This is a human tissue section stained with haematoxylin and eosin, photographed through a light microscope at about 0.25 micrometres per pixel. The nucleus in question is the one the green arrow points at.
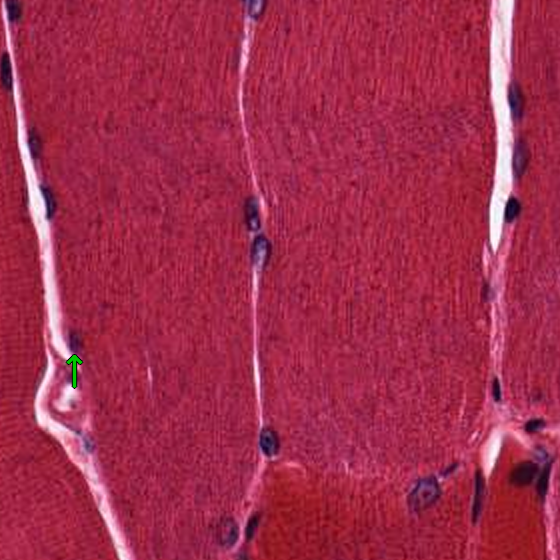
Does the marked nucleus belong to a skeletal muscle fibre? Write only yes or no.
yes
